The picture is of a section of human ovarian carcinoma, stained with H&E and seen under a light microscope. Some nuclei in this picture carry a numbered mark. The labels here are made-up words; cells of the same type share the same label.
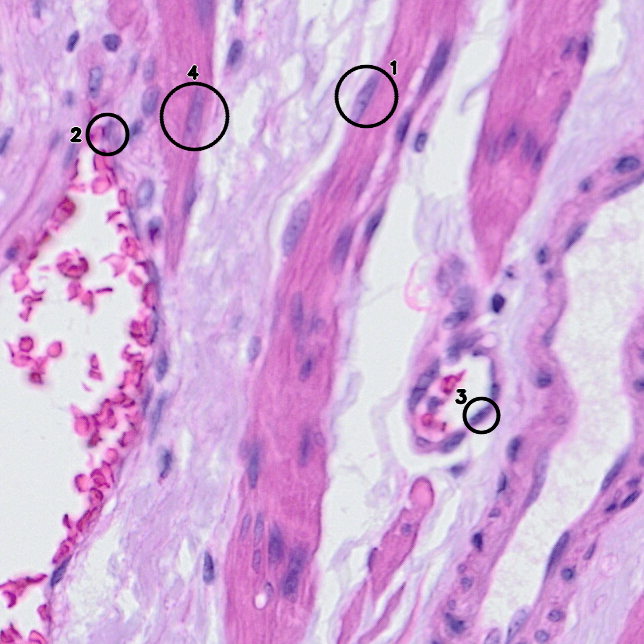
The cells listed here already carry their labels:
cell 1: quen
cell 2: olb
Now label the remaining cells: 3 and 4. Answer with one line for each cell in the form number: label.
3: olb
4: quen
